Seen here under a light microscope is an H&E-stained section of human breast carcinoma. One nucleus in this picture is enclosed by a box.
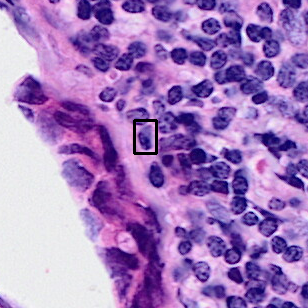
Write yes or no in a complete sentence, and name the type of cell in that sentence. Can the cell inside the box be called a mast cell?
No, the cell inside the box represents a lymphocyte and does not represent a mast cell.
